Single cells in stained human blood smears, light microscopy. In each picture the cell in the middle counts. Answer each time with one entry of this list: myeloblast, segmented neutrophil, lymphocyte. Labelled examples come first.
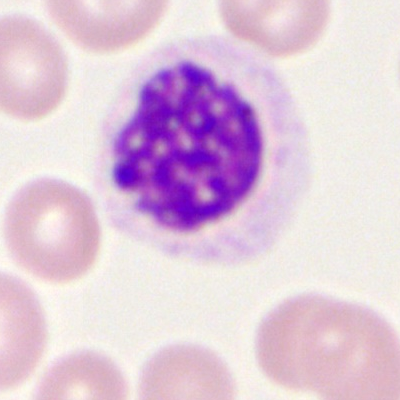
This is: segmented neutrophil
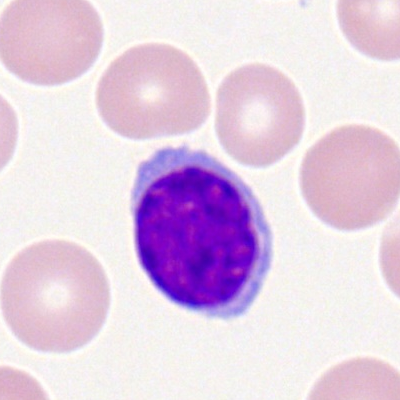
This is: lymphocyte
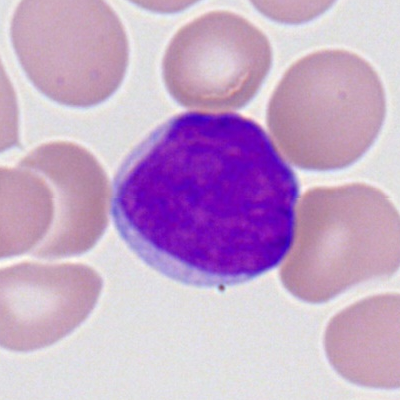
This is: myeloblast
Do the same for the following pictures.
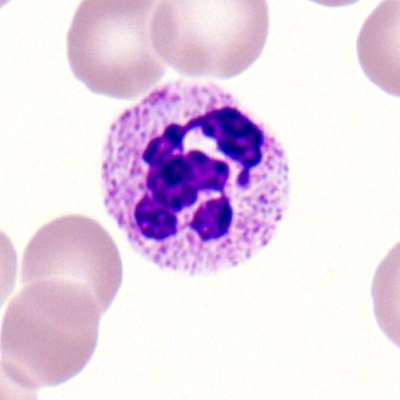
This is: segmented neutrophil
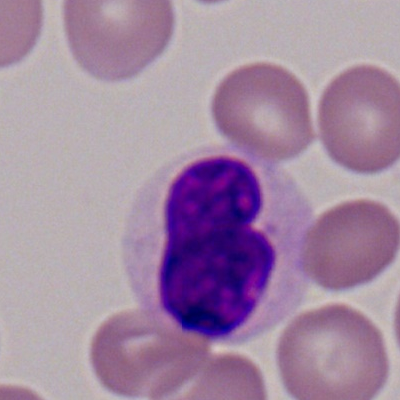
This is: segmented neutrophil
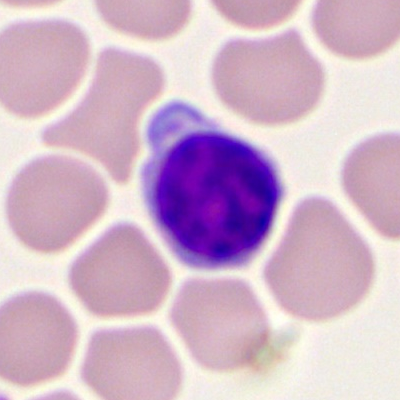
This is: lymphocyte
